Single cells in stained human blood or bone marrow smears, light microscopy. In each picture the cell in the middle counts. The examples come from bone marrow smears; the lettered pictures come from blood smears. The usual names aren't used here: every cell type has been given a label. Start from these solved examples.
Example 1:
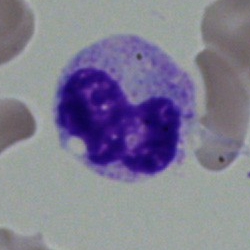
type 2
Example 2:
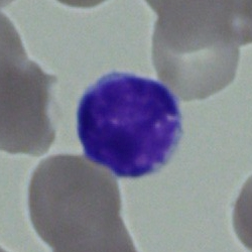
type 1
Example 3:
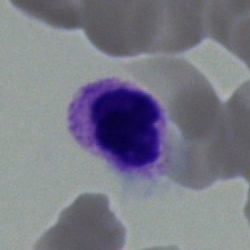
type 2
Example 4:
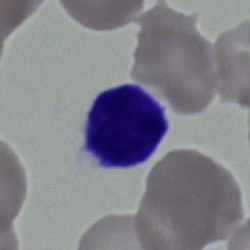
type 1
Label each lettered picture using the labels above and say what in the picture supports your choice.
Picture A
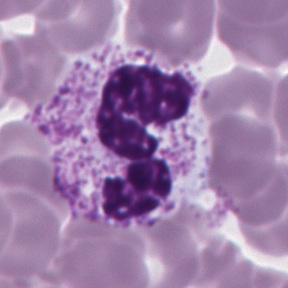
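Label: type 2. The nucleus is divided into lobes joined in an S-shaped chain.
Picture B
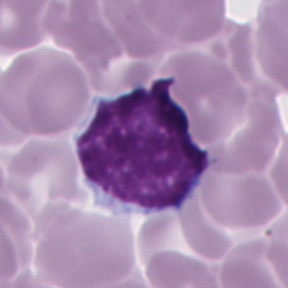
Label: type 1. The cytoplasm forms only a very thin rim around the nucleus.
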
